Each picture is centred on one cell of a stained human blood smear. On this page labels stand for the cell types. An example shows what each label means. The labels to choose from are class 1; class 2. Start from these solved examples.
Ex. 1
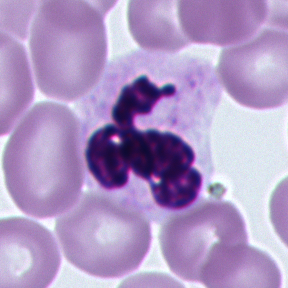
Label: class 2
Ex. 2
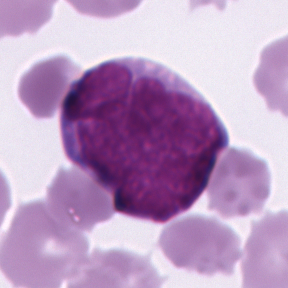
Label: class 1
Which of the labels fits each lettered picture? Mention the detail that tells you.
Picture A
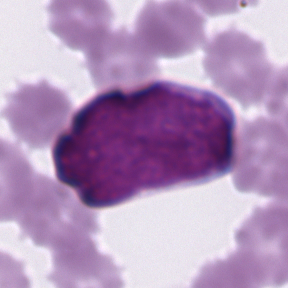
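class 1: Cytoplasm shows only as a very thin rim around the nucleus.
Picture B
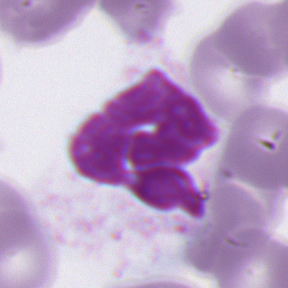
class 2: The nucleus is divided into several lobes folded closely together into a compact cluster.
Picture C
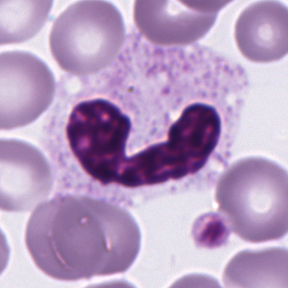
class 2: The cytoplasm is plentiful and pale pinkish-lilac.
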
